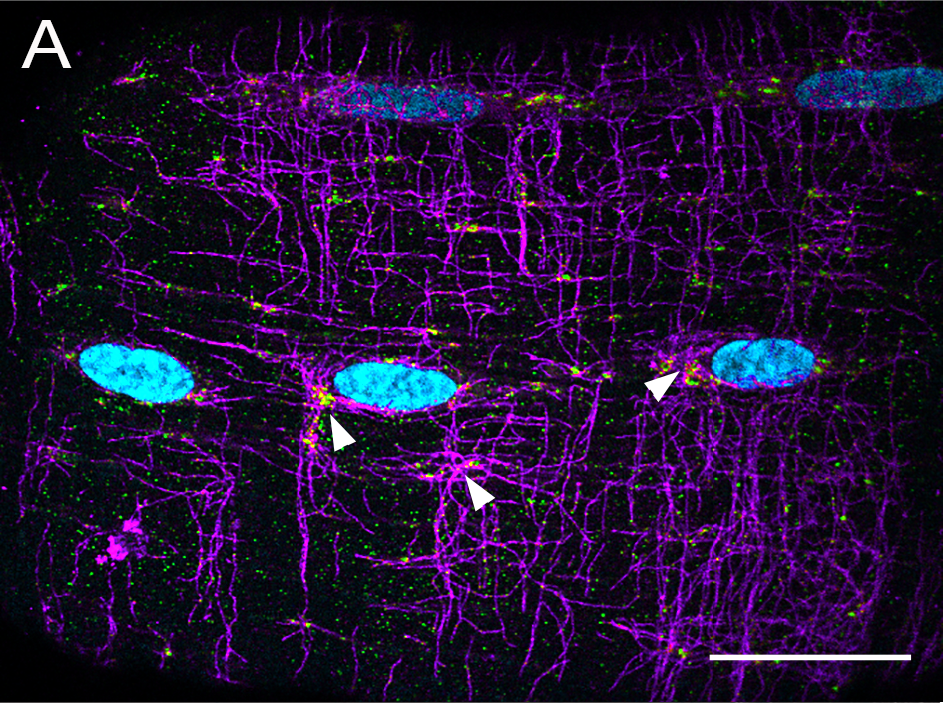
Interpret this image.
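Several flattened, elongated oval nuclei lie aligned with the fiber axis, and at the ends of some nuclei and at points within the network, magenta filaments radiate from small foci where green puncta cluster. Fine green puncta are also scattered along the filaments throughout the fiber.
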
